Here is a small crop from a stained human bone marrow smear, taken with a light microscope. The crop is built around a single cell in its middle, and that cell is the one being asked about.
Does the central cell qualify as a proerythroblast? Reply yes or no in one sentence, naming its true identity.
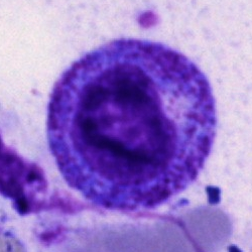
No, that guess of a proerythroblast misses; the central cell is a promyelocyte.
